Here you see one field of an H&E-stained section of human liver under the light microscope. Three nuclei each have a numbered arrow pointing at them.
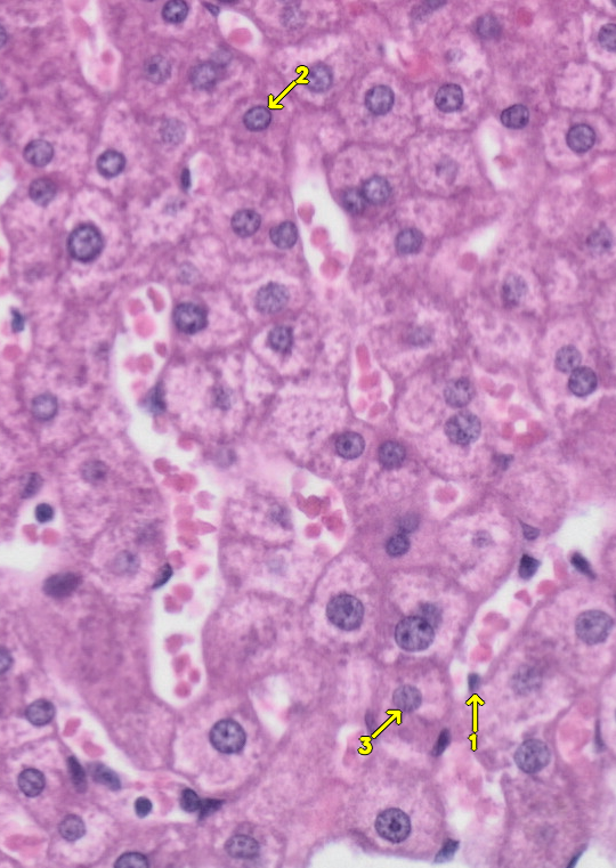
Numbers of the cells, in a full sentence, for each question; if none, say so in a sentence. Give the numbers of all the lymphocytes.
Cell 1 is a lymphocyte, whereas each of the other numbered cells is not.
